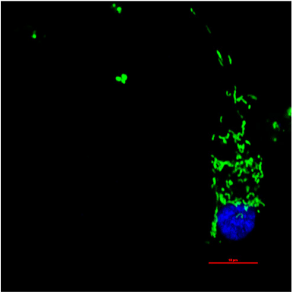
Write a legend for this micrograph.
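An oval blue nucleus lies at the lower end of the cell. The cytoplasm above the nucleus is filled with many short rods and small fragments of mitochondria, mostly shorter than the long threads of a tubular network. A narrow tail of cytoplasm holding sparse green rods extends upward. Isolated small green dots and rods lie scattered in the dark field to the left, apart from the cell body.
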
